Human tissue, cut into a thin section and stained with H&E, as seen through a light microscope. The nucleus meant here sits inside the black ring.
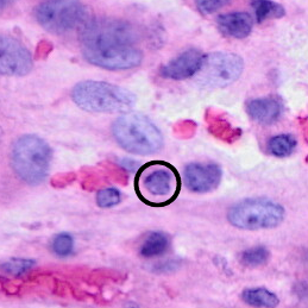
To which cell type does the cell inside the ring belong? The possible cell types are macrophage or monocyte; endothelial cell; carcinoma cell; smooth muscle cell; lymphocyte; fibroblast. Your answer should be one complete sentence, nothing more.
The category to which the cell inside the ring belongs is that of a macrophage or monocyte.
